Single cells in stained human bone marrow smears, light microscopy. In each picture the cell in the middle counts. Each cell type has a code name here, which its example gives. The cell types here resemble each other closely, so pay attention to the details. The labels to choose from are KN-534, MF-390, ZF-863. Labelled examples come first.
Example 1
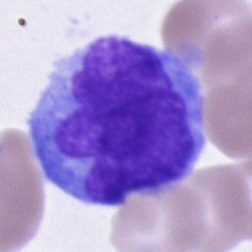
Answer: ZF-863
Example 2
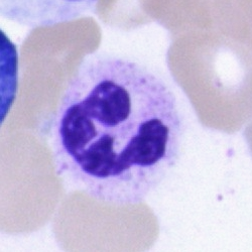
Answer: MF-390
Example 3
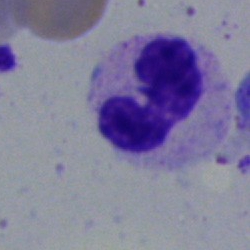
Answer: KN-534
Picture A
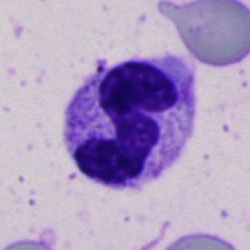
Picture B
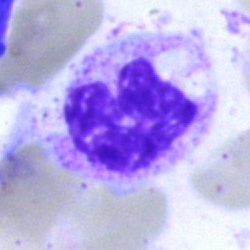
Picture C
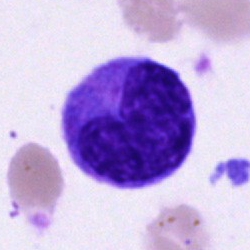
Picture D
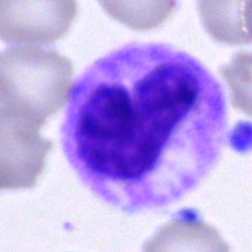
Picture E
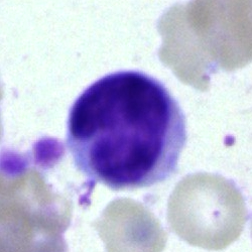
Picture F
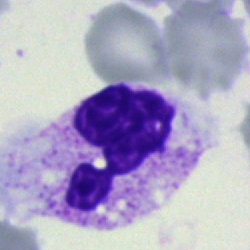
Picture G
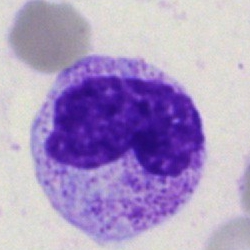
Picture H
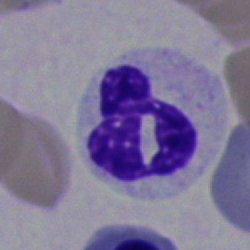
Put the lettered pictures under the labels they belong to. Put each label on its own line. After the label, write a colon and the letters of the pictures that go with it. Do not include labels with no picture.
KN-534: D, E, G
MF-390: A, B, F, H
ZF-863: C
